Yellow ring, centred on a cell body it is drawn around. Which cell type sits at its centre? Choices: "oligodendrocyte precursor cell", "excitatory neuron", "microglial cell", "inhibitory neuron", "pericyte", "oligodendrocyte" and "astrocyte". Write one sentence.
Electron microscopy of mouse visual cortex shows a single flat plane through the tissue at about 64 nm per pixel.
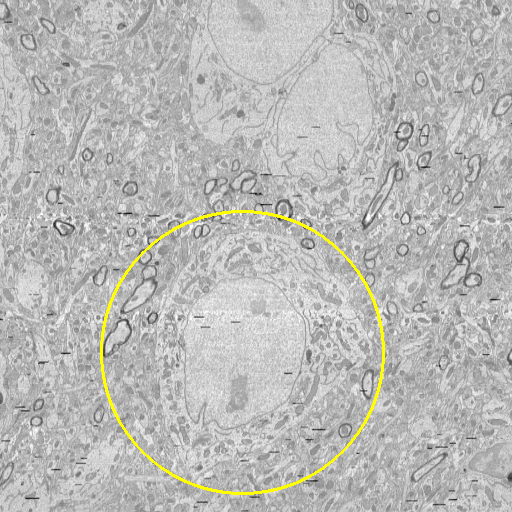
At the centre of the ring sits an inhibitory neuron.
